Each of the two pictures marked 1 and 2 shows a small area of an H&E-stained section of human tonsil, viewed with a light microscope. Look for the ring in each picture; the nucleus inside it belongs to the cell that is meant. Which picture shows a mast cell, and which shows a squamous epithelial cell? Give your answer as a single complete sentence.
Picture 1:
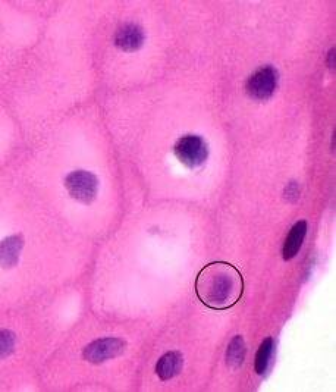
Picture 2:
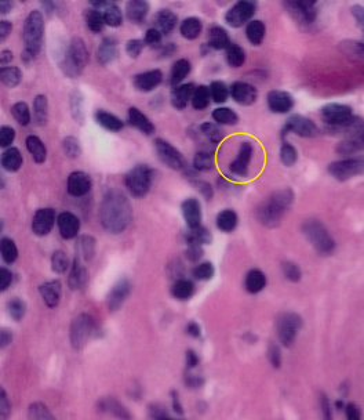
In picture 1 the cell is a squamous epithelial cell; in picture 2, a mast cell.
